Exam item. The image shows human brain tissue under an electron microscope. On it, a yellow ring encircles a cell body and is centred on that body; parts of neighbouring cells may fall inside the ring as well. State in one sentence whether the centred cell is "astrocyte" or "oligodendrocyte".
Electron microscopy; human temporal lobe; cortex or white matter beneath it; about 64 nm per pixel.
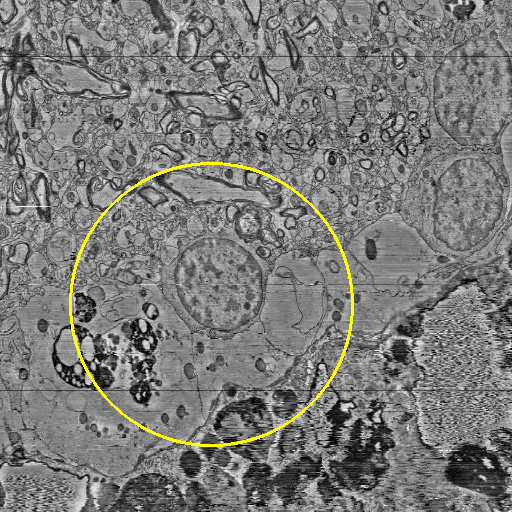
The cell body centred in the ring is an oligodendrocyte.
